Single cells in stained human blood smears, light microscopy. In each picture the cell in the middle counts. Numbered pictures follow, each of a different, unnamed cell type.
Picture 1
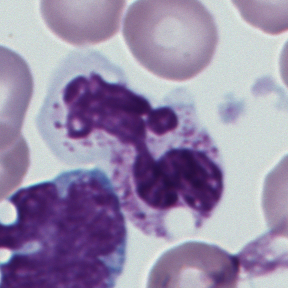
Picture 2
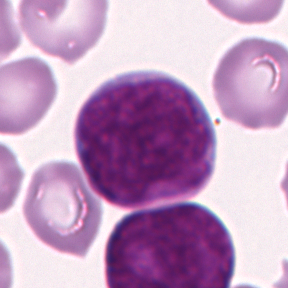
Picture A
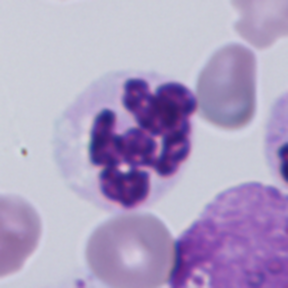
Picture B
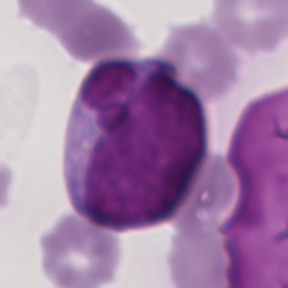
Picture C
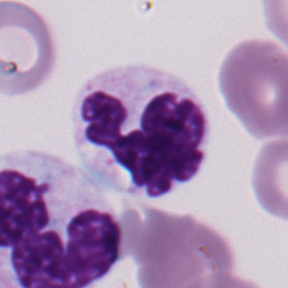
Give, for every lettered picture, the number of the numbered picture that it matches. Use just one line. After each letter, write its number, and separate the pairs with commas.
A 1, B 2, C 1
